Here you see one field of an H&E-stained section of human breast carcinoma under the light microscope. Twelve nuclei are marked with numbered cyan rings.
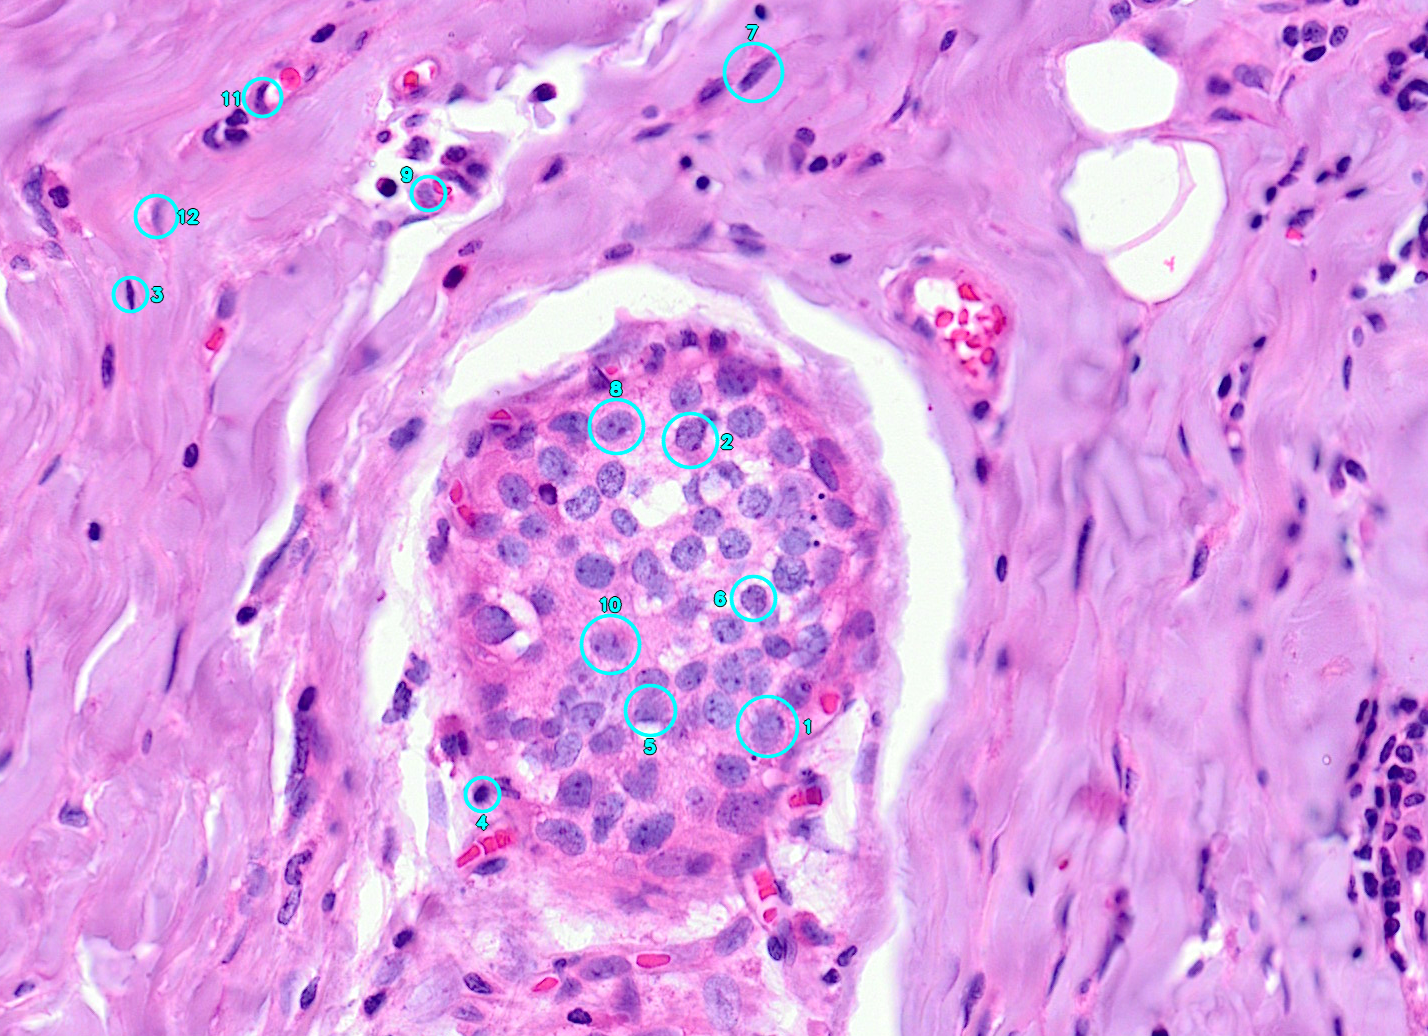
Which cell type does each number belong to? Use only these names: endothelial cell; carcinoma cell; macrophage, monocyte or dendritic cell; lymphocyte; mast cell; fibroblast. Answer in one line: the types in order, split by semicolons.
carcinoma cell; carcinoma cell; fibroblast; lymphocyte; carcinoma cell; carcinoma cell; fibroblast; carcinoma cell; endothelial cell; carcinoma cell; endothelial cell; fibroblast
